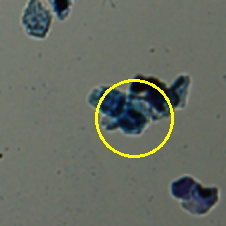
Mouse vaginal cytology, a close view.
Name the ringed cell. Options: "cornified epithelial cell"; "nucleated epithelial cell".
cornified epithelial cell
